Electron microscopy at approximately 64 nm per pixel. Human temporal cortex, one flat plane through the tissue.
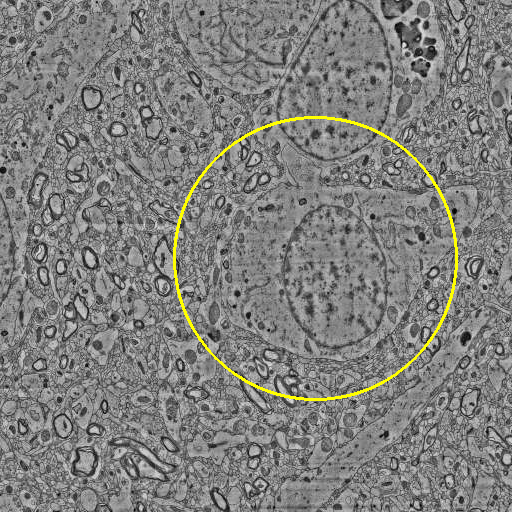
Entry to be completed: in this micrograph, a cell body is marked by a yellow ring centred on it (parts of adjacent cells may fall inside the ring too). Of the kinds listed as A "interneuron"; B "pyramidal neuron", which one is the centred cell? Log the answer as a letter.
B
